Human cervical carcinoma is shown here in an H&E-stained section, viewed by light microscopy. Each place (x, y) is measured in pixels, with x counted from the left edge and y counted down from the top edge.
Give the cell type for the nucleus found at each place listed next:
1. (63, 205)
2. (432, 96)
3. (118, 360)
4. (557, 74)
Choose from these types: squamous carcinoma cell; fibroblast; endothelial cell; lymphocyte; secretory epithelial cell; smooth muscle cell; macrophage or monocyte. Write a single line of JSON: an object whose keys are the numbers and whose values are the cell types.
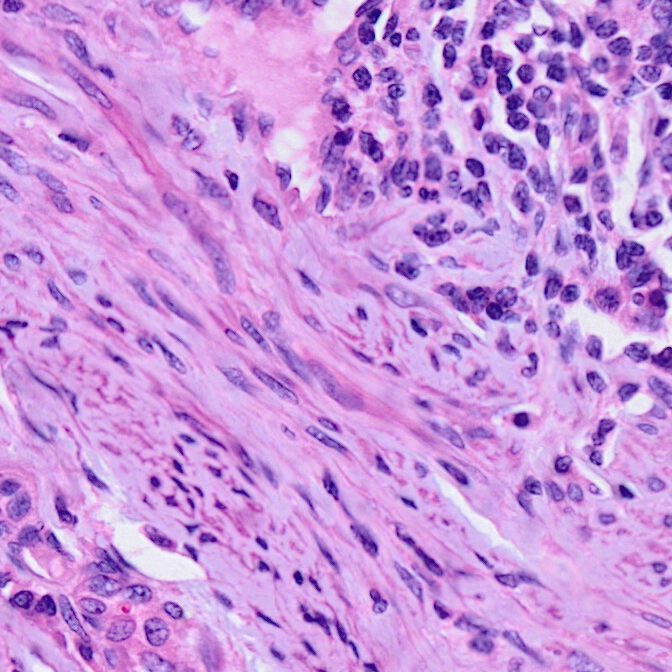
{"1": "smooth muscle cell", "2": "lymphocyte", "3": "smooth muscle cell", "4": "lymphocyte"}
